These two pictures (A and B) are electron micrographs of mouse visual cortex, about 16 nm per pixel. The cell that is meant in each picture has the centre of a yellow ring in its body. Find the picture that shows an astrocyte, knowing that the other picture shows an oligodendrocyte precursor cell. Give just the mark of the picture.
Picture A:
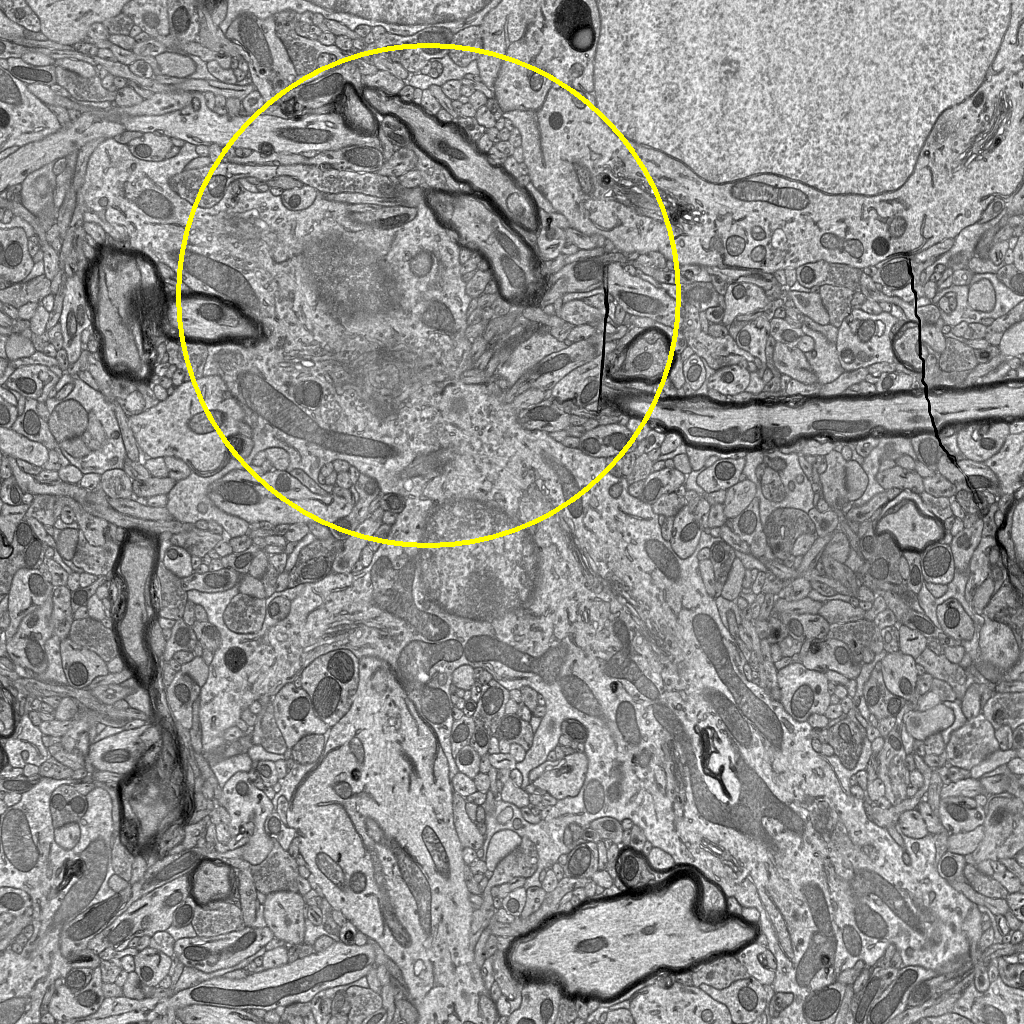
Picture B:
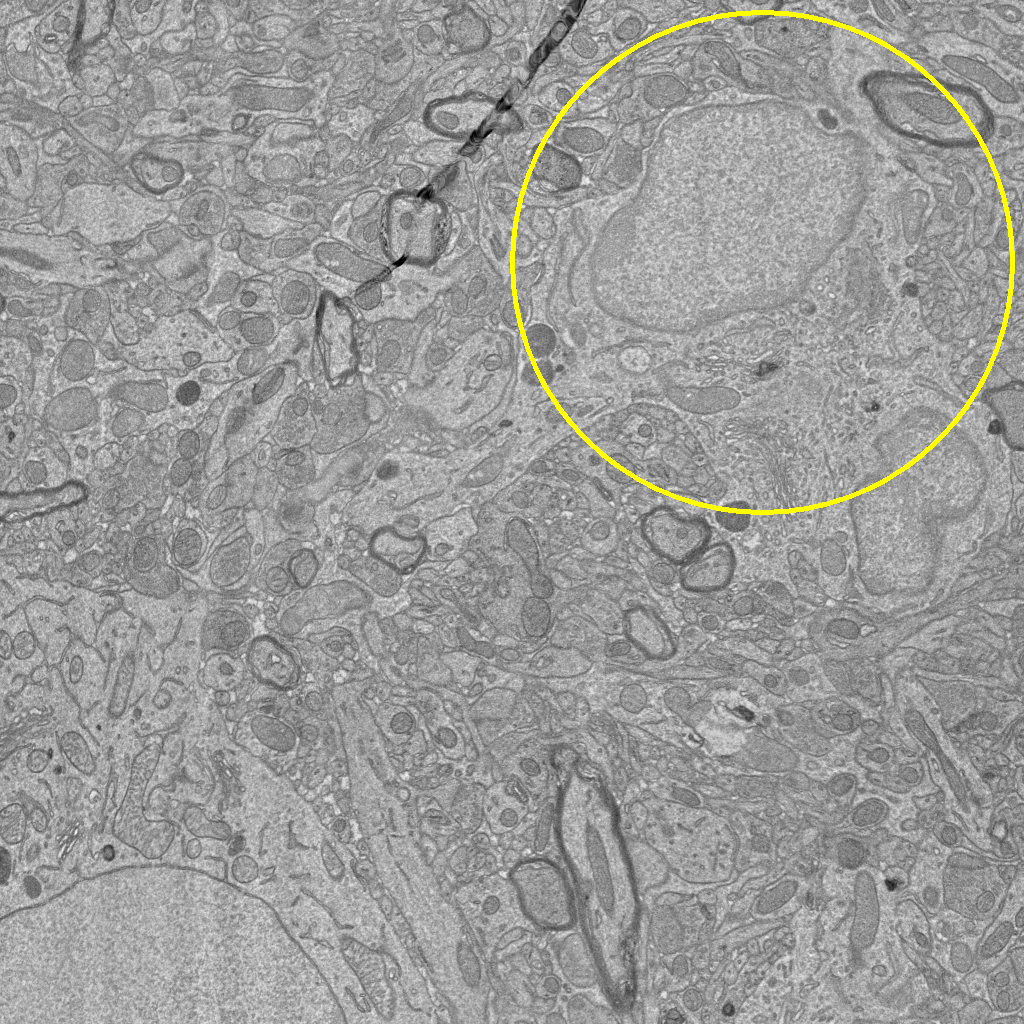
A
